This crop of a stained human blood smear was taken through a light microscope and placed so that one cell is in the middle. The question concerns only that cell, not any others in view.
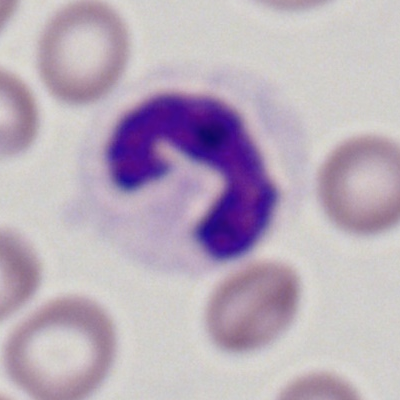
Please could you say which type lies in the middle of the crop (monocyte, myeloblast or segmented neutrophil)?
segmented neutrophil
